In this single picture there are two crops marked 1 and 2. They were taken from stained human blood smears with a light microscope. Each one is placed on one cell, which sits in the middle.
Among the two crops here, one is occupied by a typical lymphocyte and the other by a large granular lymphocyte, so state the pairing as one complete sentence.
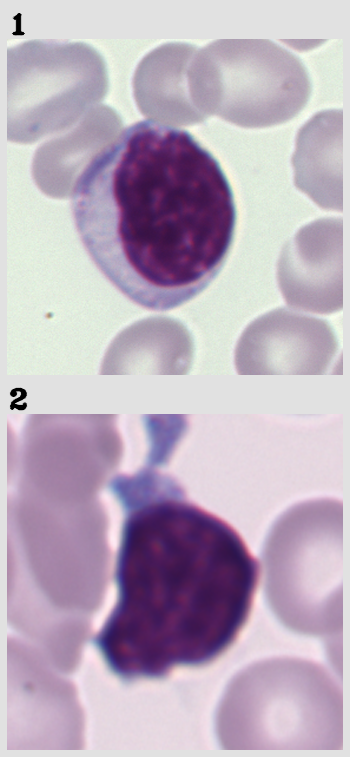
The designated cell in crop 1 is a large granular lymphocyte, and the designated cell in crop 2 is a typical lymphocyte.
